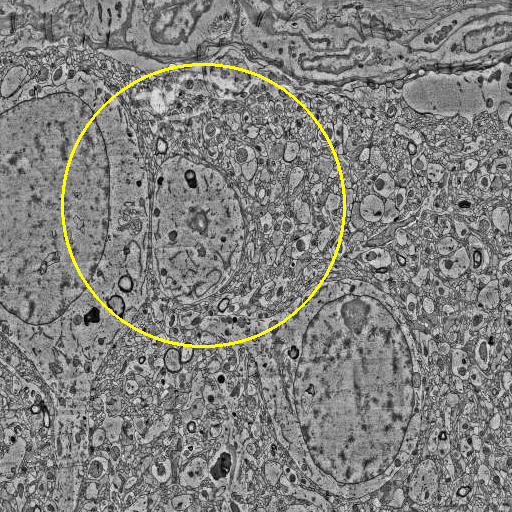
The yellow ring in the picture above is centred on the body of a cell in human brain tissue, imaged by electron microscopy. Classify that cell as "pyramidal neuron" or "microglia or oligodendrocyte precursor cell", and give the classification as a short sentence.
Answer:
The cell in the middle of the ring is a pyramidal neuron.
